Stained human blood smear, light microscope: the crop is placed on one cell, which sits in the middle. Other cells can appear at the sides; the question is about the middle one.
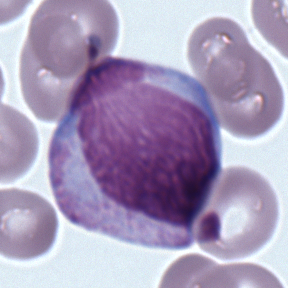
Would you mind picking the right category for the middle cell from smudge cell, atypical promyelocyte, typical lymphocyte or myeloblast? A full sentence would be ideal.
The cell in the middle of the field of view is an atypical promyelocyte.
